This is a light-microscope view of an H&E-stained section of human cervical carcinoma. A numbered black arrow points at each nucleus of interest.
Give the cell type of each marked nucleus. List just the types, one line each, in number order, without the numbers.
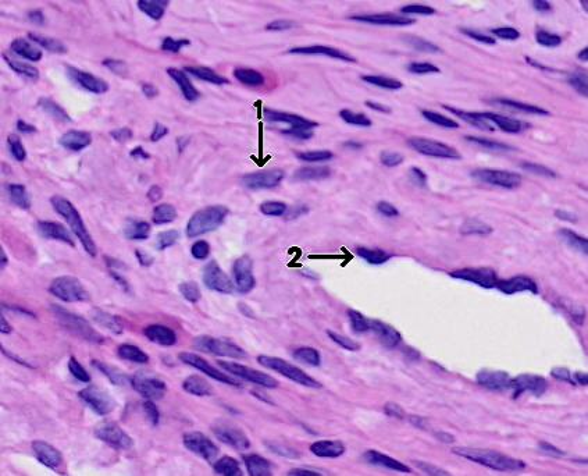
fibroblast
endothelial cell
